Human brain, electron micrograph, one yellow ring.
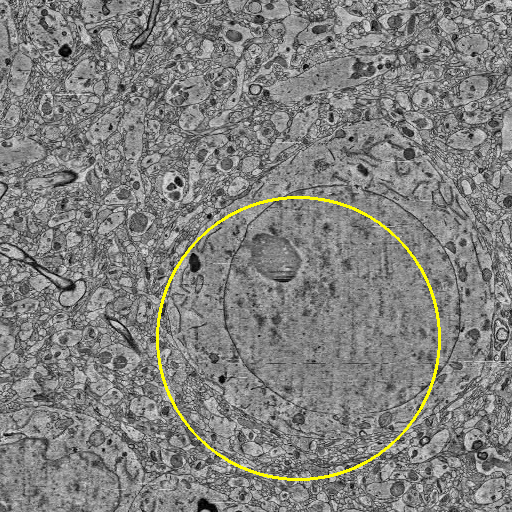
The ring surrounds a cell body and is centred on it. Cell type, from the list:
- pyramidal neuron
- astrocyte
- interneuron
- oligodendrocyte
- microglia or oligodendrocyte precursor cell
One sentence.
The yellow ring circles a pyramidal neuron.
